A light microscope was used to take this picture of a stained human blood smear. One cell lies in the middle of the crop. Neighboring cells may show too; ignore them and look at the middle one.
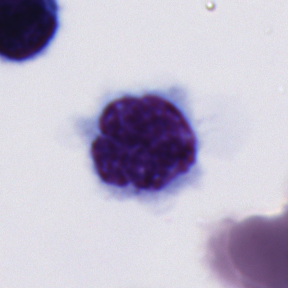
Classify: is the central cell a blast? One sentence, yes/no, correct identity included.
No, the central cell is not to be called a blast, being a hairy cell.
